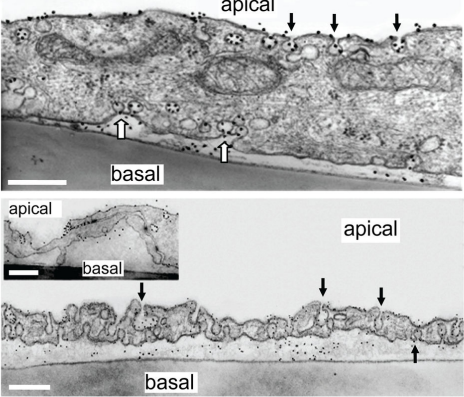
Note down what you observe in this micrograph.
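Thin endothelial cells grown on a support, seen in cross section from apical to basal surface. The cytoplasm holds mitochondria and many small round vesicles, some opening onto the apical and some onto the basal membrane. Small dense particles lie in and around these vesicles. The inset shows two cells overlapping at their edges.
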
